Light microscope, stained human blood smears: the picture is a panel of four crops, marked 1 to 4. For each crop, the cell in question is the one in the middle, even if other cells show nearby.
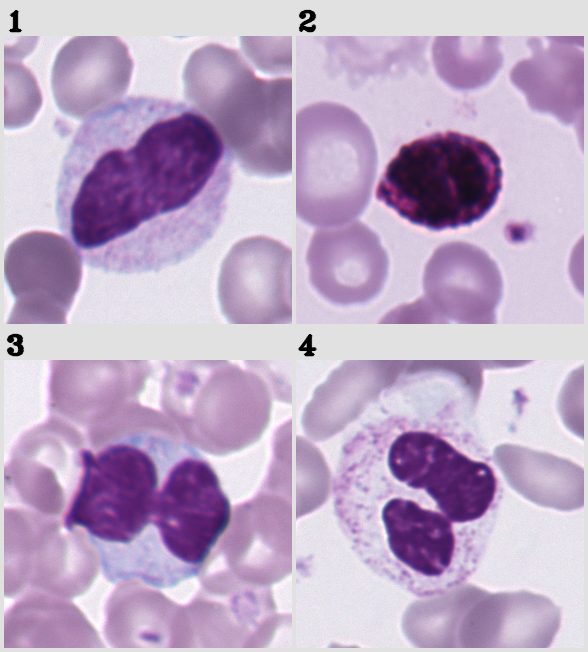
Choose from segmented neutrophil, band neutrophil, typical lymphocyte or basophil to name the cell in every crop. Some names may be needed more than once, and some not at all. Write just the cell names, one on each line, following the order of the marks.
band neutrophil
basophil
typical lymphocyte
segmented neutrophil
